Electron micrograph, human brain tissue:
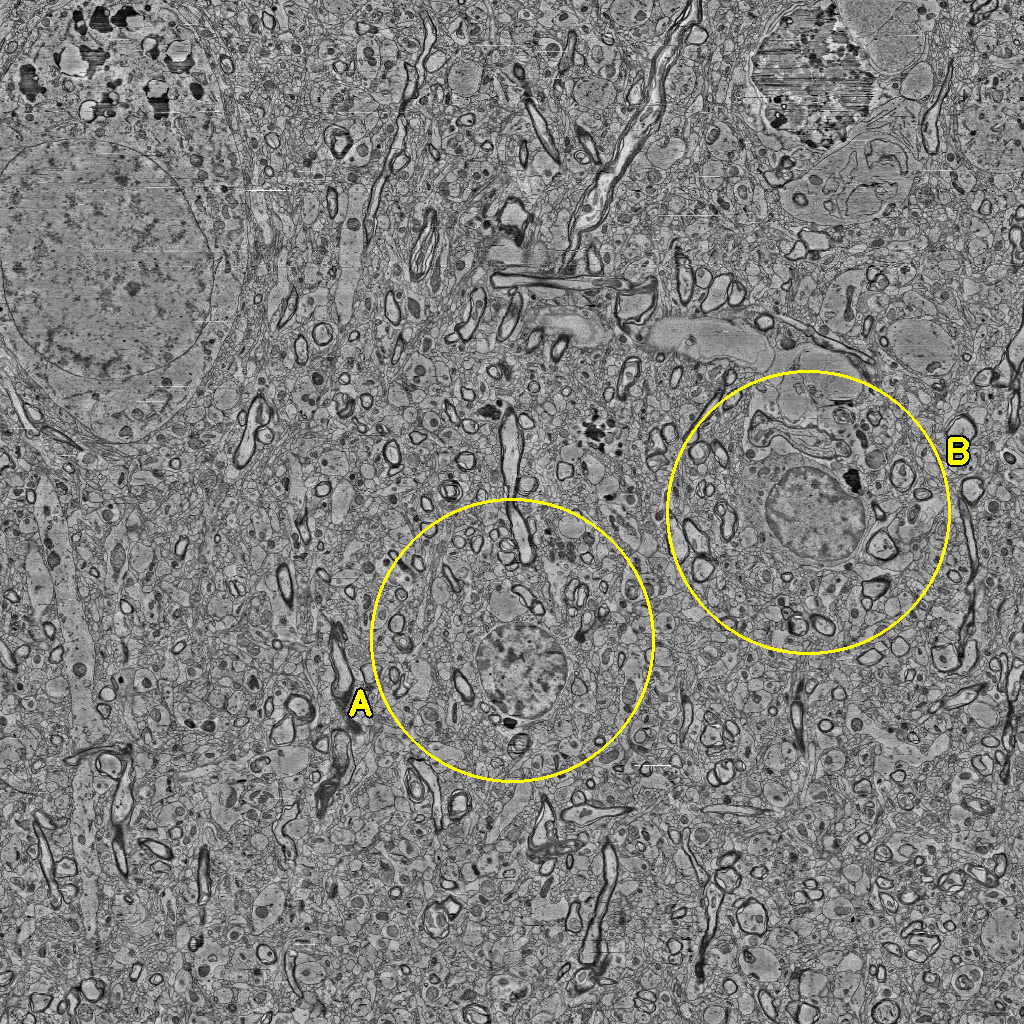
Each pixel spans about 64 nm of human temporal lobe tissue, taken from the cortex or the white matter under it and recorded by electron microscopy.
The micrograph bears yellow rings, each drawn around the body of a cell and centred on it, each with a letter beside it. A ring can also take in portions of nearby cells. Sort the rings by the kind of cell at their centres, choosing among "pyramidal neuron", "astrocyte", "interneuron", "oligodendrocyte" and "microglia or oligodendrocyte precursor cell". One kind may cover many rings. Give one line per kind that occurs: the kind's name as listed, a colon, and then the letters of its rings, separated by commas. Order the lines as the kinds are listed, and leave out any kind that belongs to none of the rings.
oligodendrocyte: B
microglia or oligodendrocyte precursor cell: A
